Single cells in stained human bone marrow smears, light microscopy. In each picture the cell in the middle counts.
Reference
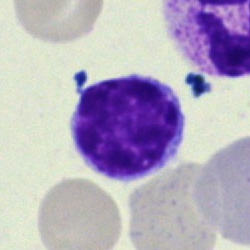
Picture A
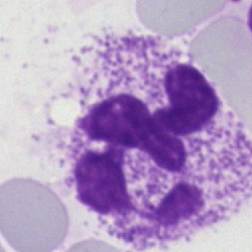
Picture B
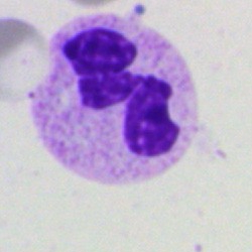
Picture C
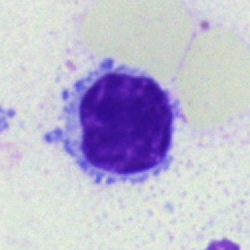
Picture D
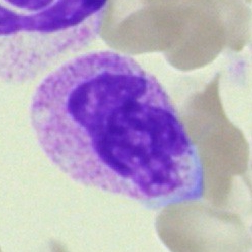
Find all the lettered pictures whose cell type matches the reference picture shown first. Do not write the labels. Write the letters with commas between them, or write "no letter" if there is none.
C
